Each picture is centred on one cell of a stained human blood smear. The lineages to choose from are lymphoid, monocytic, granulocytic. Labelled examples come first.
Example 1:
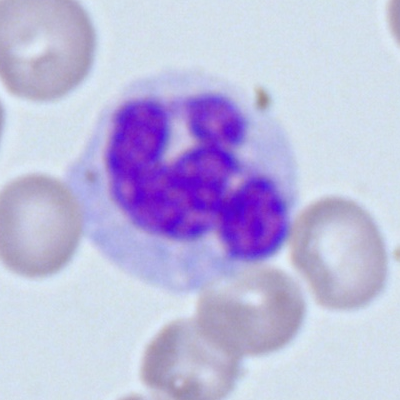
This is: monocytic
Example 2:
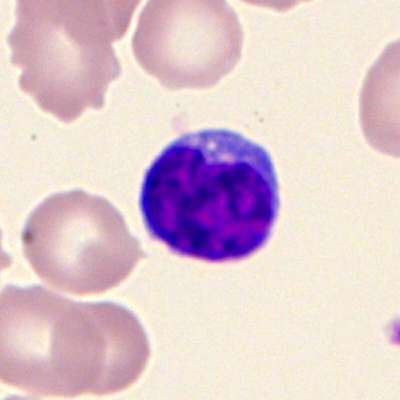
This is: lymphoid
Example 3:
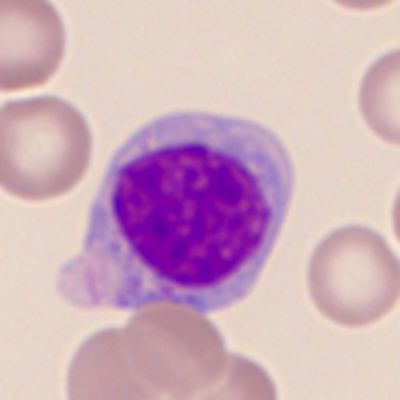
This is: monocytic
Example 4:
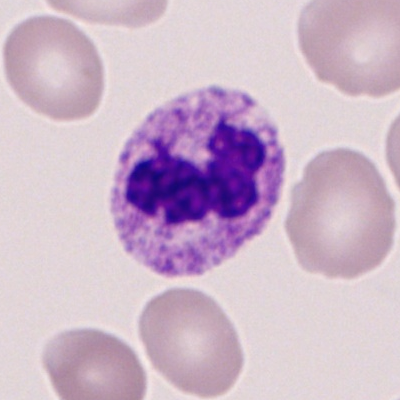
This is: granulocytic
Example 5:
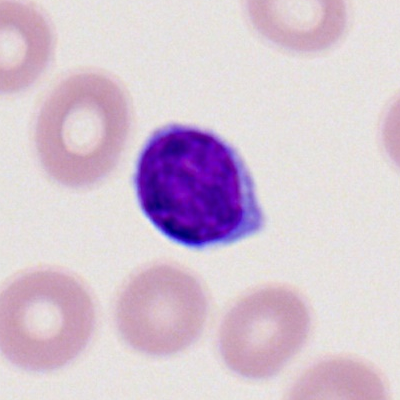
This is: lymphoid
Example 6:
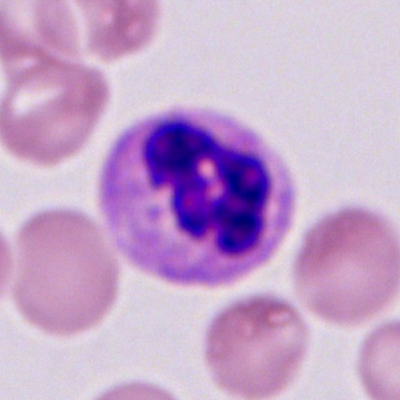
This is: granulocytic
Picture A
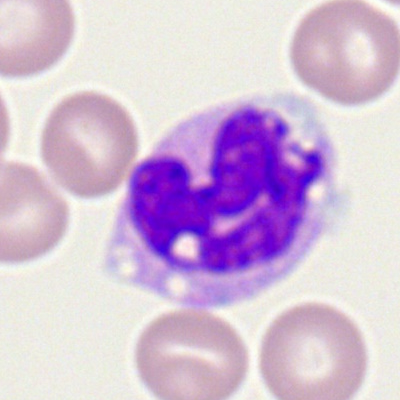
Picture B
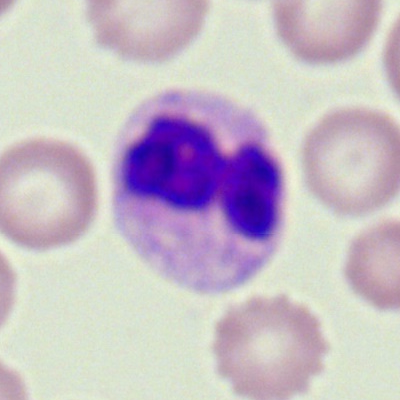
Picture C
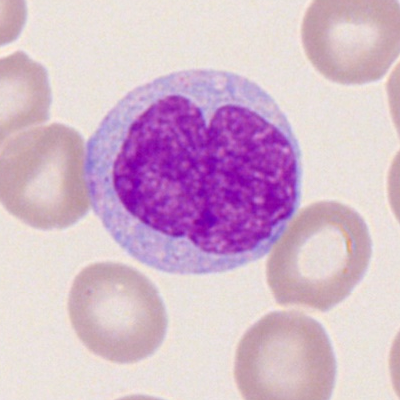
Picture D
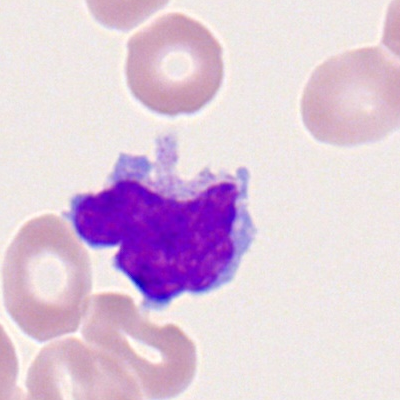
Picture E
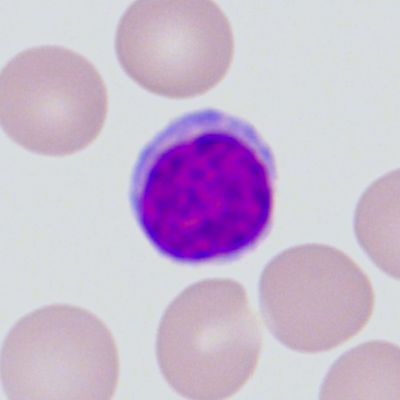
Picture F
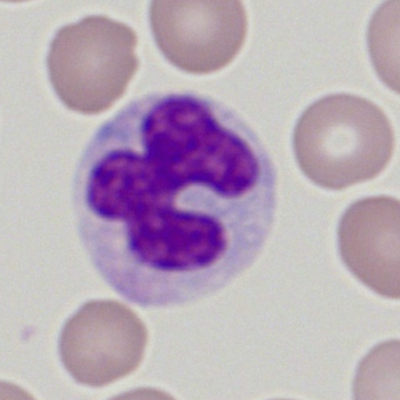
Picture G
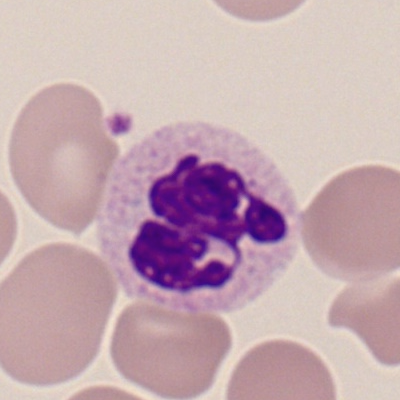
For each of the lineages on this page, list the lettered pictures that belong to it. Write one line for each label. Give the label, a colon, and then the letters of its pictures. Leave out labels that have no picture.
lymphoid: D, E
monocytic: A, C, F
granulocytic: B, G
